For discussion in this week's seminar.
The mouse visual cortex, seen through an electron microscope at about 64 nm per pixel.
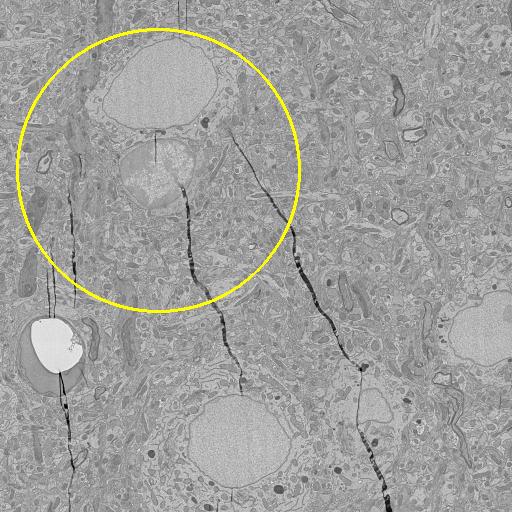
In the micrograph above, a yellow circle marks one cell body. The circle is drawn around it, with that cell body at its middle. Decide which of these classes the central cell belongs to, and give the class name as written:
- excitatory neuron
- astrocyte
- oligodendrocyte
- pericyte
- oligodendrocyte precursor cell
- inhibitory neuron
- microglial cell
oligodendrocyte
